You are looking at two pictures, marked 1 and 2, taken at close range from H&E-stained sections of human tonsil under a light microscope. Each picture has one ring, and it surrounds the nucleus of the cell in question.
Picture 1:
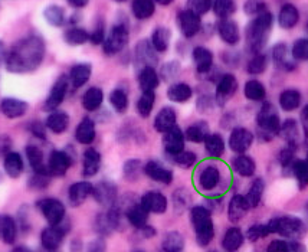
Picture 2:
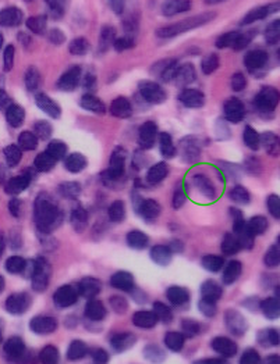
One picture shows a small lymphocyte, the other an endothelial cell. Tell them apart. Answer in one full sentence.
Picture 2 shows an endothelial cell, while picture 1 shows a small lymphocyte.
